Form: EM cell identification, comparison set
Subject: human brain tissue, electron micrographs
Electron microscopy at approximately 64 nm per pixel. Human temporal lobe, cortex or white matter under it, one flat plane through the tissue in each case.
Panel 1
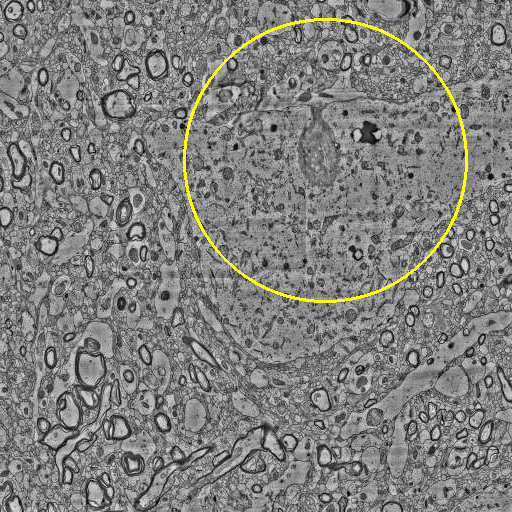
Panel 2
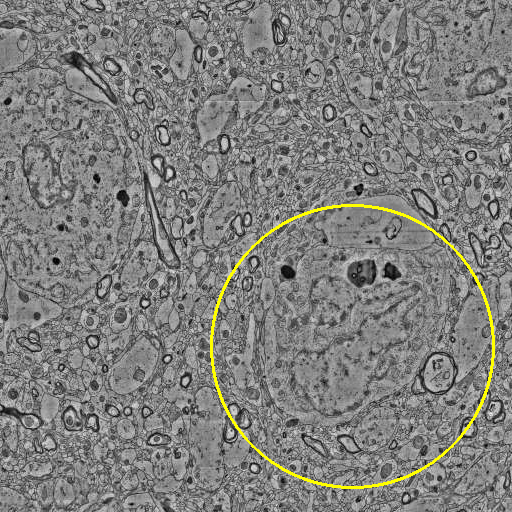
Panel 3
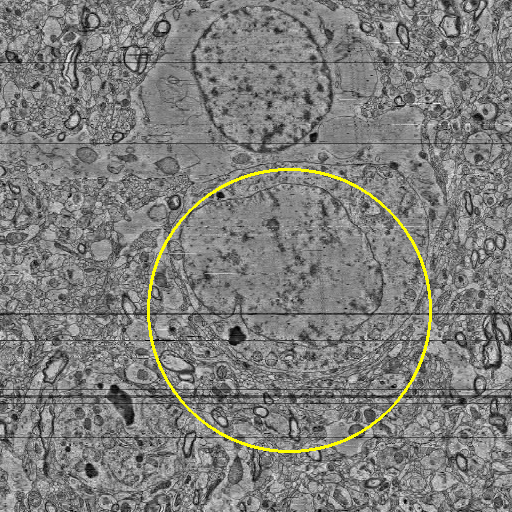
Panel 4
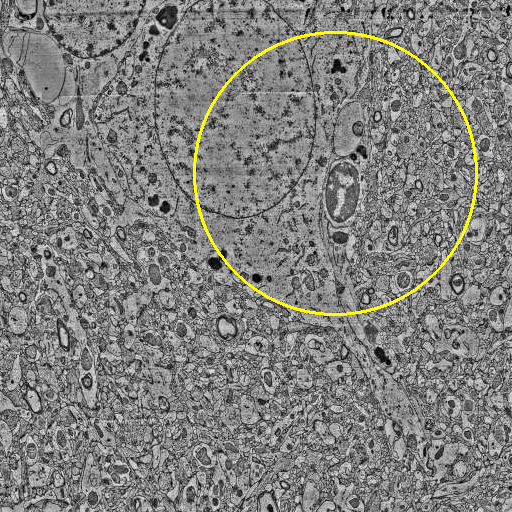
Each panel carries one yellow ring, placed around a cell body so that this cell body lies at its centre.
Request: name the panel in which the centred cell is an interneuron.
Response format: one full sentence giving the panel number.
Panel 2 has it at the centre of its ring.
